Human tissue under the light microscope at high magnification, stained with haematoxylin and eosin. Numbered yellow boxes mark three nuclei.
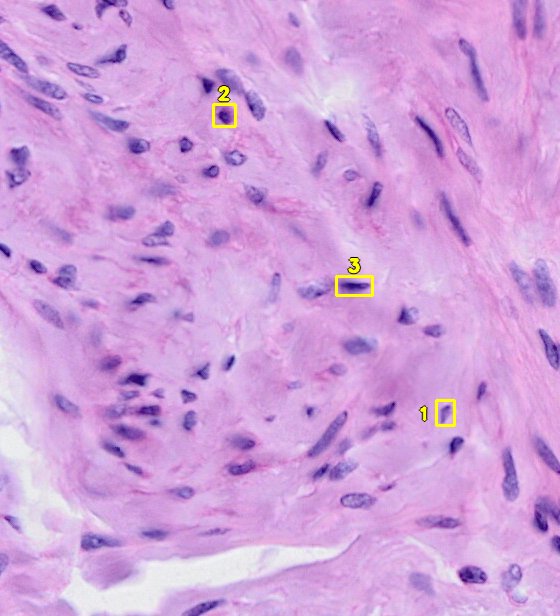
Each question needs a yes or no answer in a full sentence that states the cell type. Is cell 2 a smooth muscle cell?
Yes, of the numbered cells, number 2 is a smooth muscle cell.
